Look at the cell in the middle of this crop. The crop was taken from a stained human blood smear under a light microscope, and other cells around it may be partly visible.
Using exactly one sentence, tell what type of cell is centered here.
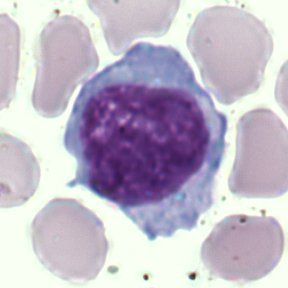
Classified as a plasma cell is the cell in the middle of this crop.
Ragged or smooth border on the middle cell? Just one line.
The boundary of the cell runs irregularly, ragged in parts or drawn into projections.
